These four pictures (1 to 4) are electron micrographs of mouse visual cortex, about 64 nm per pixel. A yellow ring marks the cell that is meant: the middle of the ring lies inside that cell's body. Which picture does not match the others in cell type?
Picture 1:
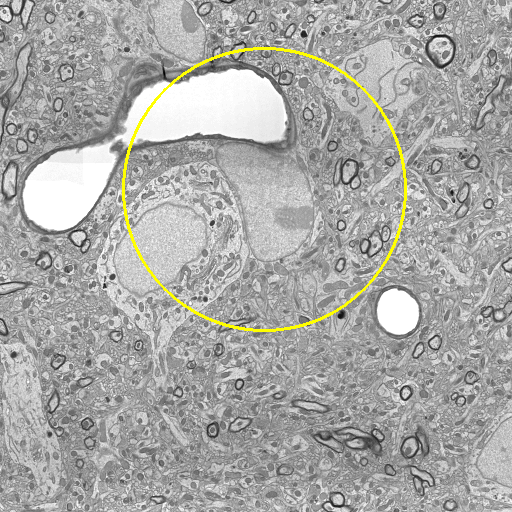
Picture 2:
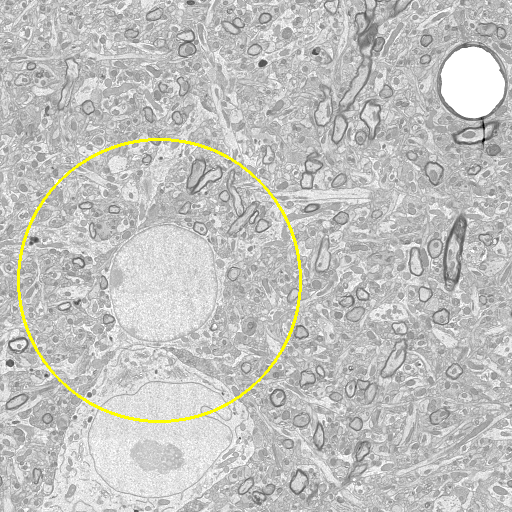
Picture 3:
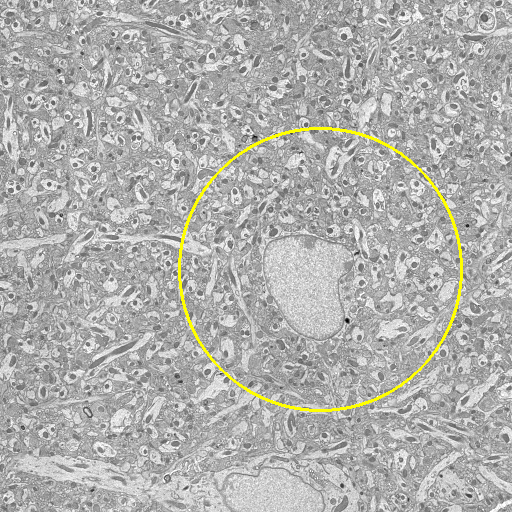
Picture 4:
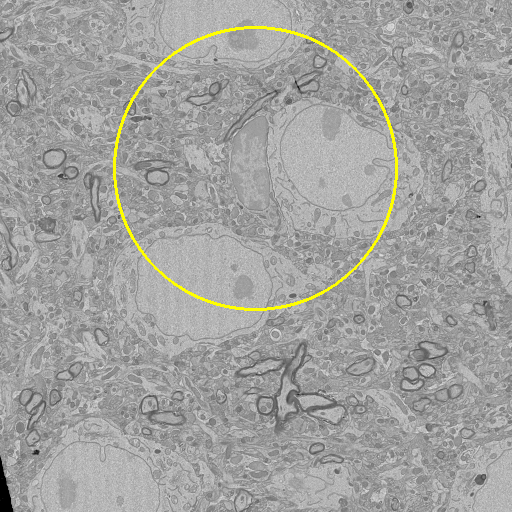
The others show astrocytes, but picture 4 shows a microglial cell.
